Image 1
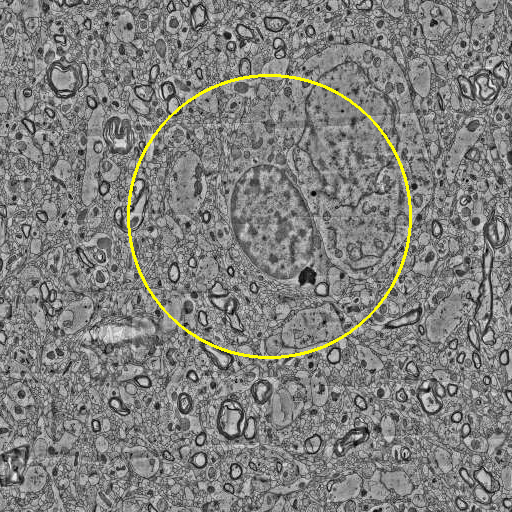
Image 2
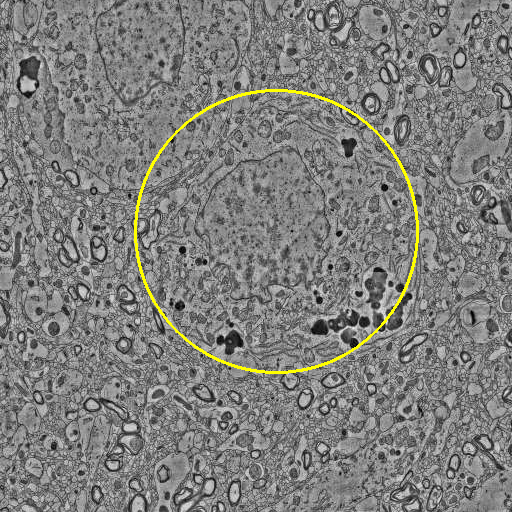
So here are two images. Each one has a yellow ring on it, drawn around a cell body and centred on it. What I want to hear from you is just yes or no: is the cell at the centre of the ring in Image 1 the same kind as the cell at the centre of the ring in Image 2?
no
